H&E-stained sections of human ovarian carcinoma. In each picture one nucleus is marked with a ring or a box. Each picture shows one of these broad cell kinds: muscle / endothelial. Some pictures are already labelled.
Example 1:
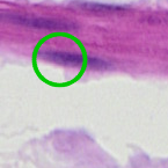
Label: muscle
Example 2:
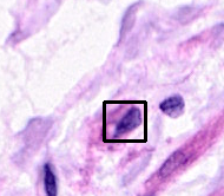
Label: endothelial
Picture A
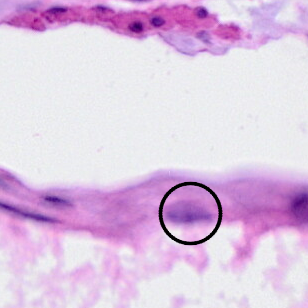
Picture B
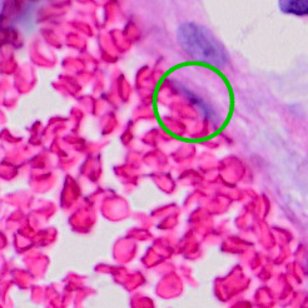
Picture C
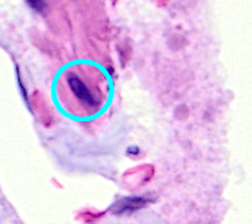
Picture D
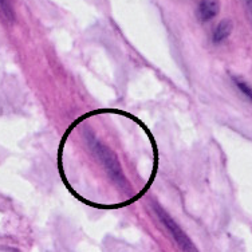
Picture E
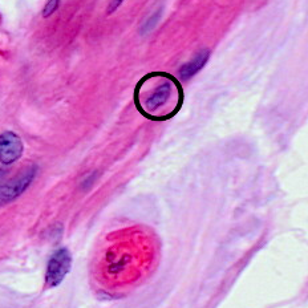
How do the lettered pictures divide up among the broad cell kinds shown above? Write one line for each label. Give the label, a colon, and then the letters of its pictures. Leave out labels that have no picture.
muscle: C, D, E
endothelial: A, B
